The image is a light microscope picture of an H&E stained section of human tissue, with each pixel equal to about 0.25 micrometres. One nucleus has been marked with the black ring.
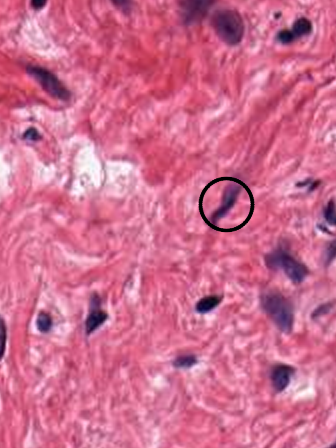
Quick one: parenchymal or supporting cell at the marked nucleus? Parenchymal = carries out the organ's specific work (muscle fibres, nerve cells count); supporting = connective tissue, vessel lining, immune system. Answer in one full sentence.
In the section shown, the marked nucleus belongs to a supporting cell.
